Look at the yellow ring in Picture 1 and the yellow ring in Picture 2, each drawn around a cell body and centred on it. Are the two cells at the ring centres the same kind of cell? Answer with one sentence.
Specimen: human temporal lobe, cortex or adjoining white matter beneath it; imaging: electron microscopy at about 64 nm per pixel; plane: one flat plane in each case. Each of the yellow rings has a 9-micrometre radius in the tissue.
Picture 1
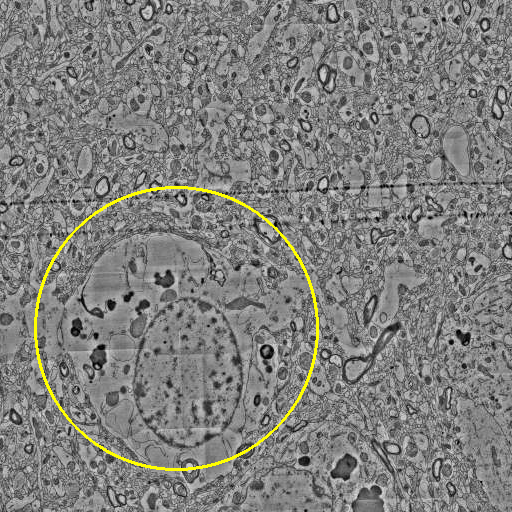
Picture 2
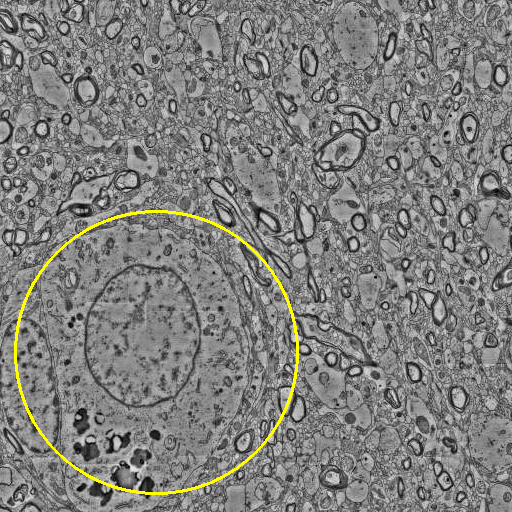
No, they are cells of two kinds.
